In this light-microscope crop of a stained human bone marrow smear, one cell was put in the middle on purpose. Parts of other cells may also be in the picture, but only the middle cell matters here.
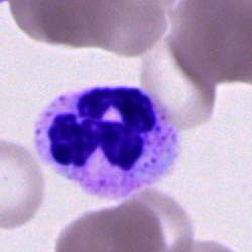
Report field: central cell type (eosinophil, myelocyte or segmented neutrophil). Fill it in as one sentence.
Where the crop is centred, there is a segmented neutrophil.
